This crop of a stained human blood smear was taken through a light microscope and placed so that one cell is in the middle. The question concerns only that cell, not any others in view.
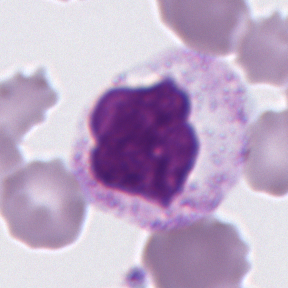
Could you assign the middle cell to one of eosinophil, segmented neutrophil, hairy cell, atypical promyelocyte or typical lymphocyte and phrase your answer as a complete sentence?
Present in the middle of the crop is a segmented neutrophil.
